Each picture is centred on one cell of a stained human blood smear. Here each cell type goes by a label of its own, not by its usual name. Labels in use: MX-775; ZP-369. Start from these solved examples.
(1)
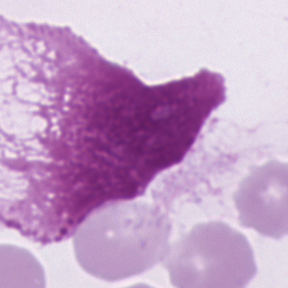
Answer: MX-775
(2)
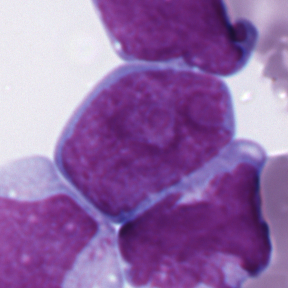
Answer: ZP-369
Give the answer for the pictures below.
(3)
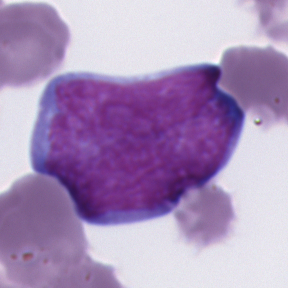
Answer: ZP-369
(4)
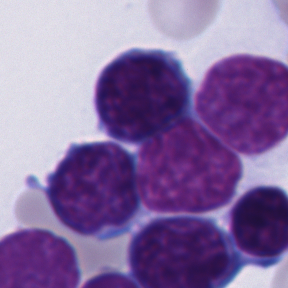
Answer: ZP-369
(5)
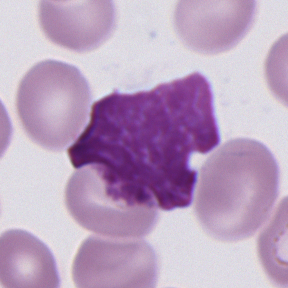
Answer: MX-775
